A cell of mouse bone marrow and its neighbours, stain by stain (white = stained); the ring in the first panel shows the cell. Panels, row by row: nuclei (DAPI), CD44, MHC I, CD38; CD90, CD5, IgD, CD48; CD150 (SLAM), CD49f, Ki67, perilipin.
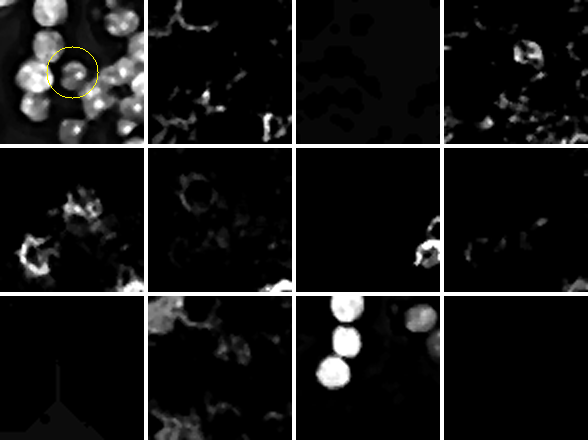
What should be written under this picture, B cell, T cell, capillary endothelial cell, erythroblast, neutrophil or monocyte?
capillary endothelial cell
